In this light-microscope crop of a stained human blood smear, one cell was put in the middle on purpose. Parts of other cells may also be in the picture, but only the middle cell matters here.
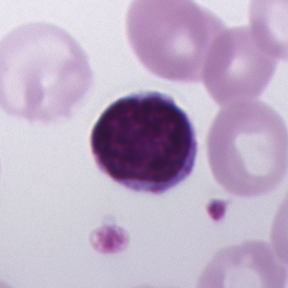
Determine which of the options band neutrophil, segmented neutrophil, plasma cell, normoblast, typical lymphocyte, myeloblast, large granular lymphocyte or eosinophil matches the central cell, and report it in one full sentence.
The middle position in this crop is taken by a typical lymphocyte.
